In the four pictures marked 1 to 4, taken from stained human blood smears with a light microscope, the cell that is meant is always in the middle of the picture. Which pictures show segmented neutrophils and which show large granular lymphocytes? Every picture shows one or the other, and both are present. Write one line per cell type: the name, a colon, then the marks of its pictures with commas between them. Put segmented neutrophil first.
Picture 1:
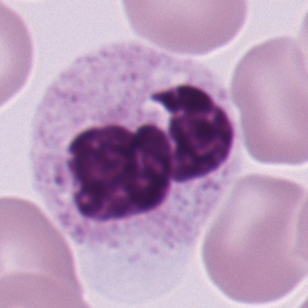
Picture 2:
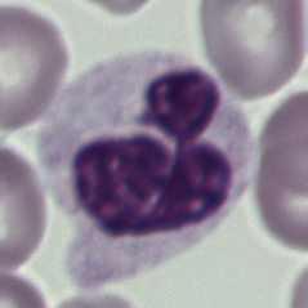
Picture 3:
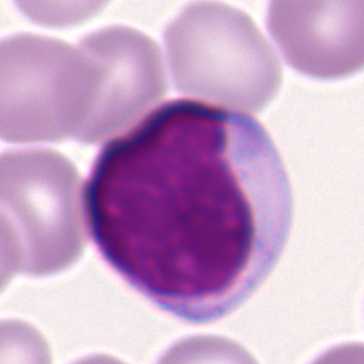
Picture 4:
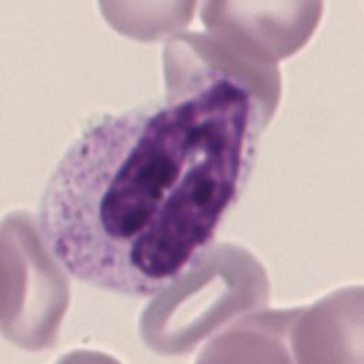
segmented neutrophil: 1, 2, 4
large granular lymphocyte: 3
